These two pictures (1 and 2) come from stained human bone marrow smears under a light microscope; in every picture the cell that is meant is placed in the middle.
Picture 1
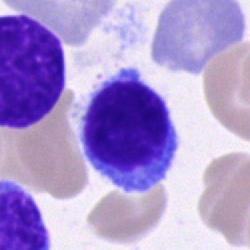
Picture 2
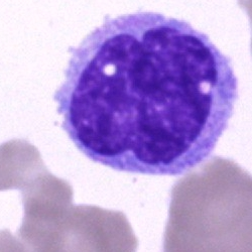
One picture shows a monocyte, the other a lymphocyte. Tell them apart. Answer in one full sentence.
It is picture 1 that shows a lymphocyte, and picture 2 that shows a monocyte.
